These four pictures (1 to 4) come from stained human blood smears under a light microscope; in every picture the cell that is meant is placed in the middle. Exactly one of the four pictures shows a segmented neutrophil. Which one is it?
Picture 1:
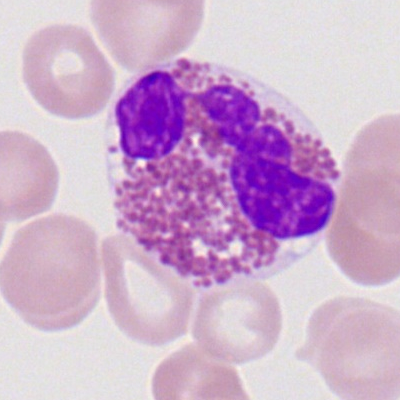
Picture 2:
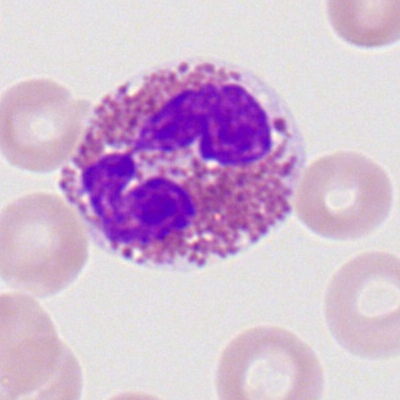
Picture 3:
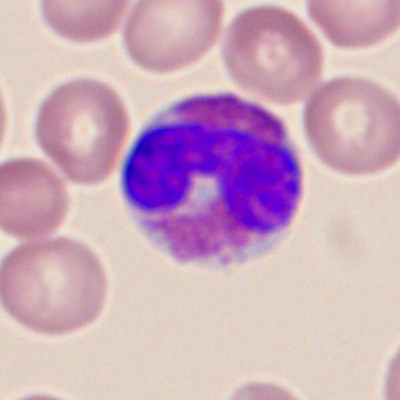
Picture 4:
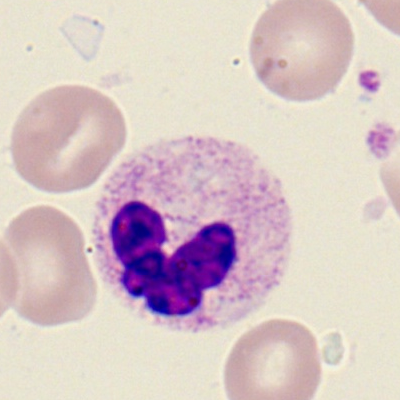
4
